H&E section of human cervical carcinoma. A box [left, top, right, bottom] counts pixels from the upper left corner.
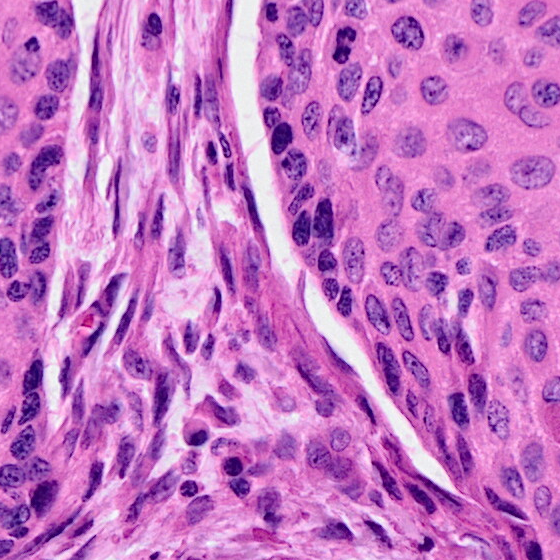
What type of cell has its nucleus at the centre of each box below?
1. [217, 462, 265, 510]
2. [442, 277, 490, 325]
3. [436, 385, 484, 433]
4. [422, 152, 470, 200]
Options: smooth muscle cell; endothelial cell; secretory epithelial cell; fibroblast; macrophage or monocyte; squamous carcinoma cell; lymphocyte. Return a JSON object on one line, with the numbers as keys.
{"1": "lymphocyte", "2": "squamous carcinoma cell", "3": "squamous carcinoma cell", "4": "squamous carcinoma cell"}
